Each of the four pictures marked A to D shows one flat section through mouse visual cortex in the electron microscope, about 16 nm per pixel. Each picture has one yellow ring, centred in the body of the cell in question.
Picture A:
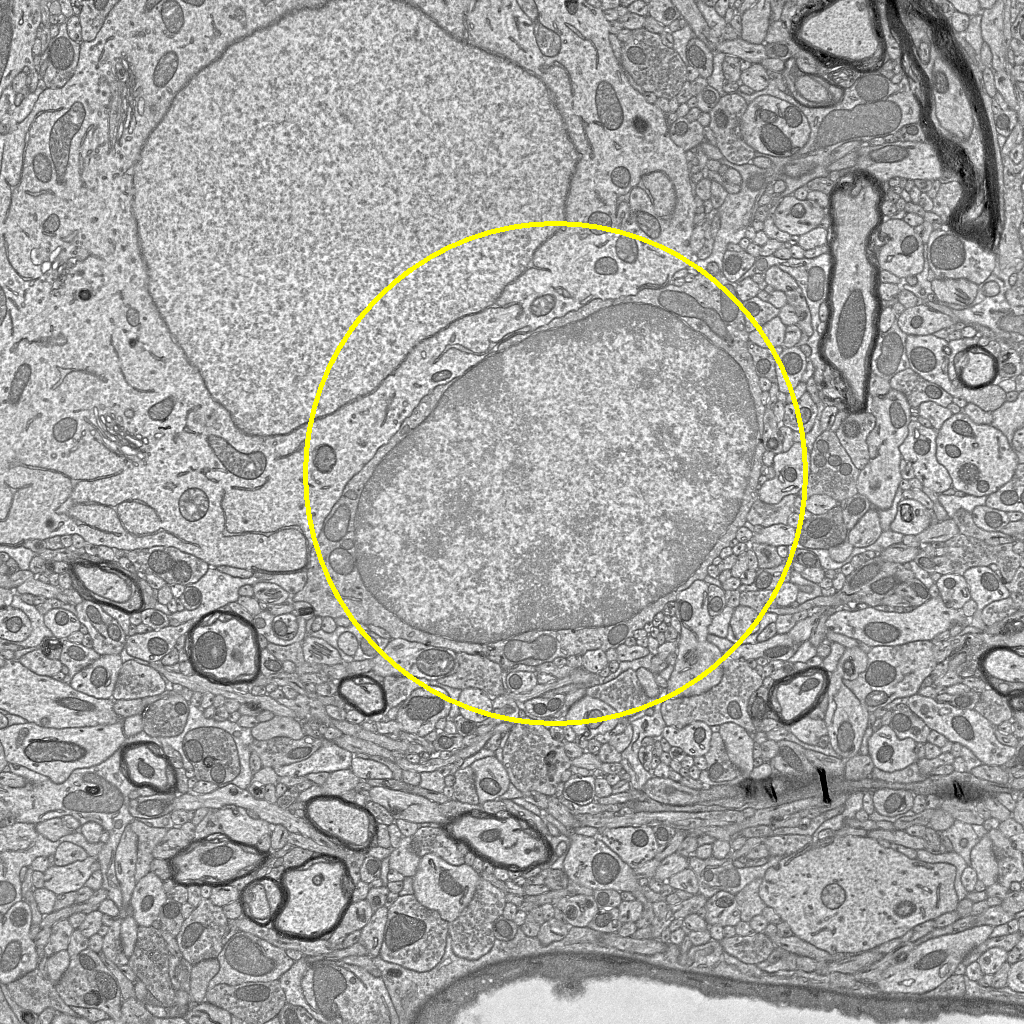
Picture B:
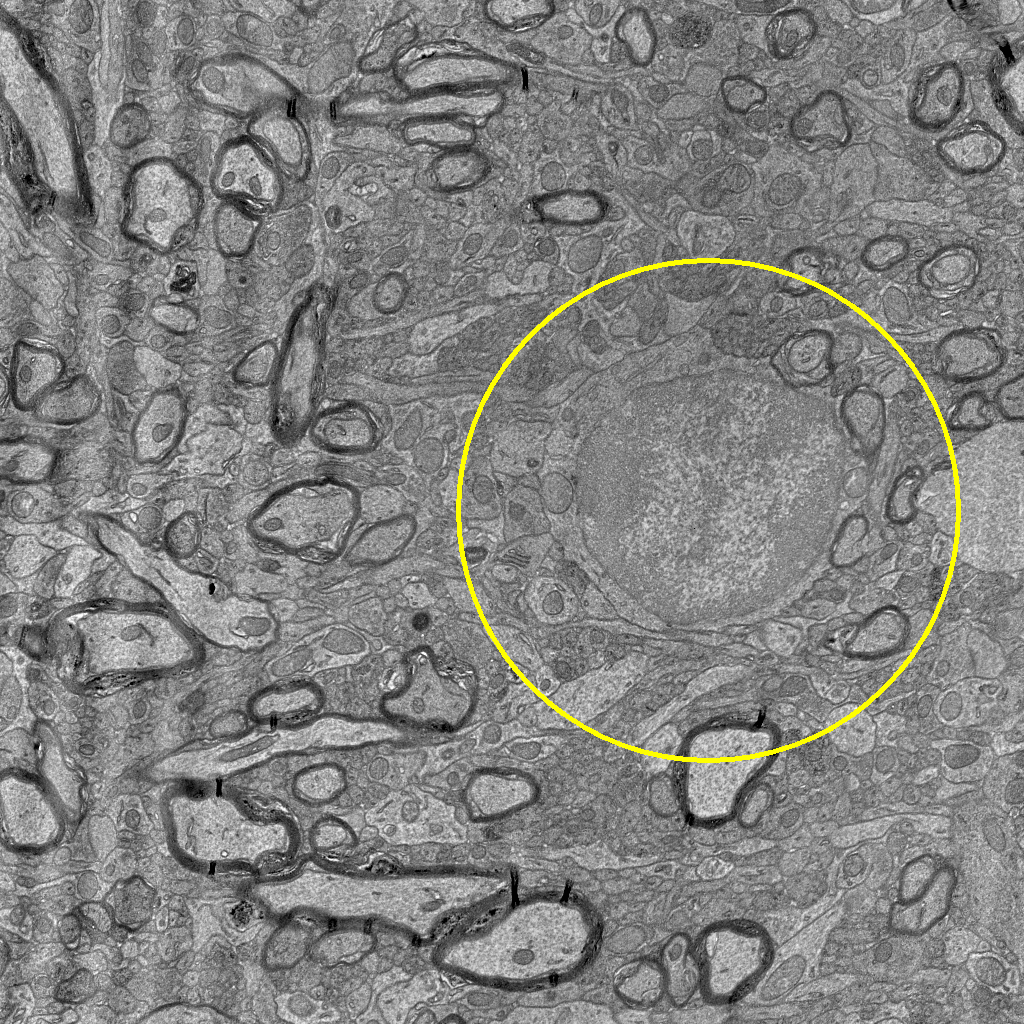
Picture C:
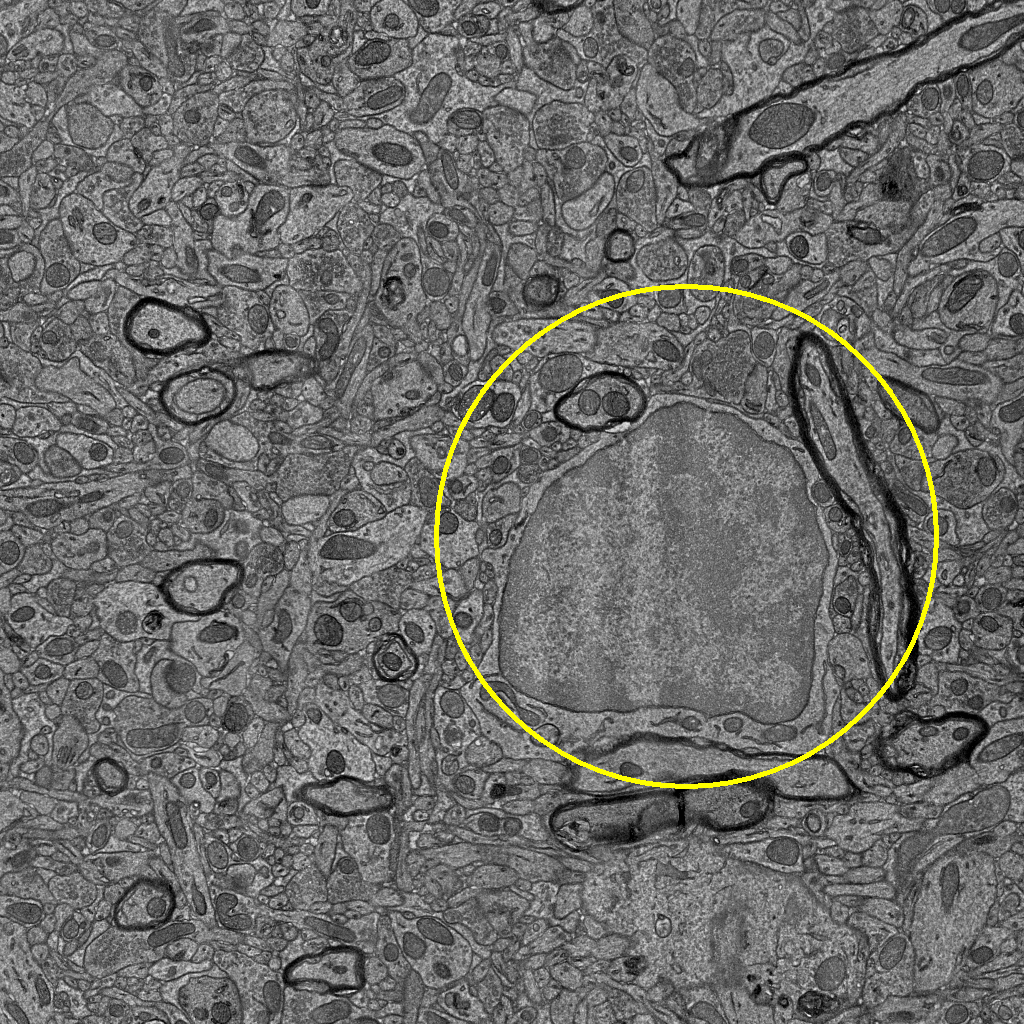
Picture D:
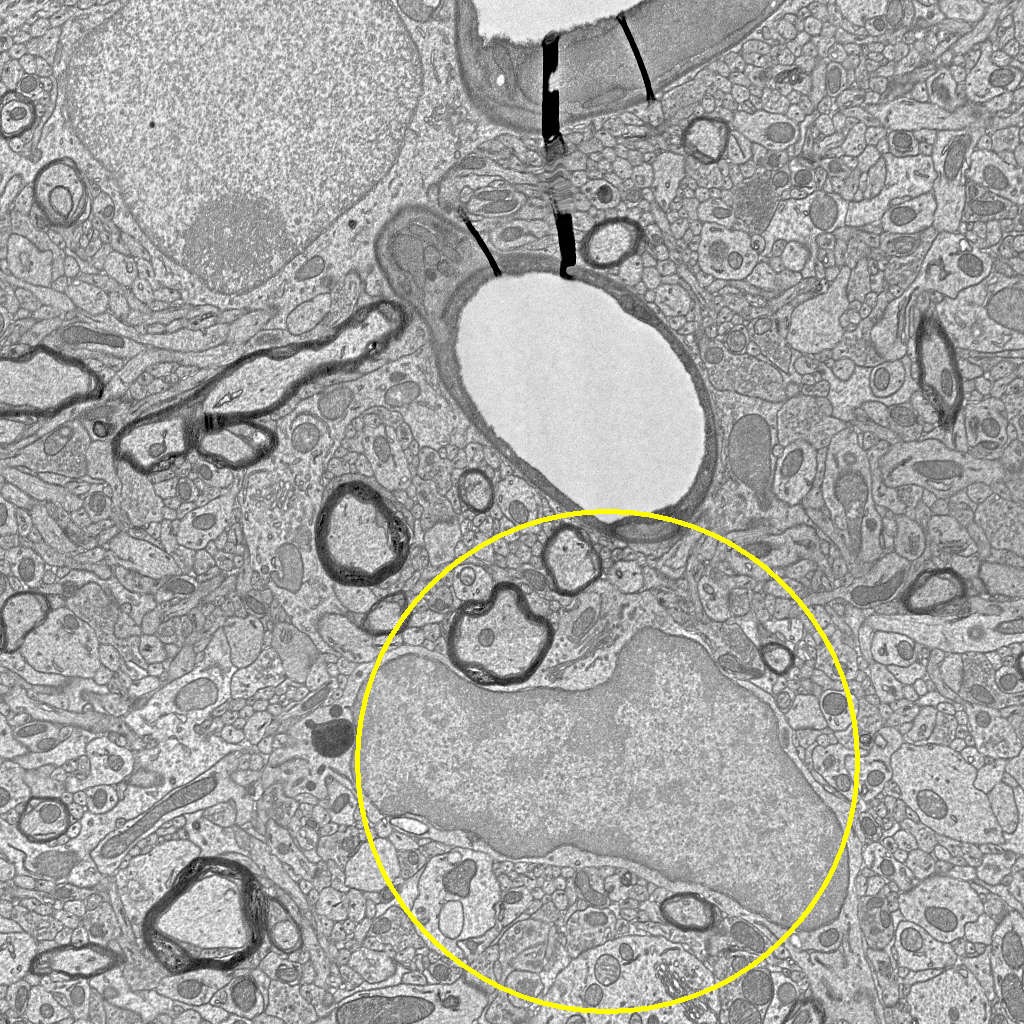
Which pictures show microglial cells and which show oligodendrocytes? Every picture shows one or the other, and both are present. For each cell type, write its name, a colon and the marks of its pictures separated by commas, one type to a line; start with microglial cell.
microglial cell: C, D
oligodendrocyte: A, B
